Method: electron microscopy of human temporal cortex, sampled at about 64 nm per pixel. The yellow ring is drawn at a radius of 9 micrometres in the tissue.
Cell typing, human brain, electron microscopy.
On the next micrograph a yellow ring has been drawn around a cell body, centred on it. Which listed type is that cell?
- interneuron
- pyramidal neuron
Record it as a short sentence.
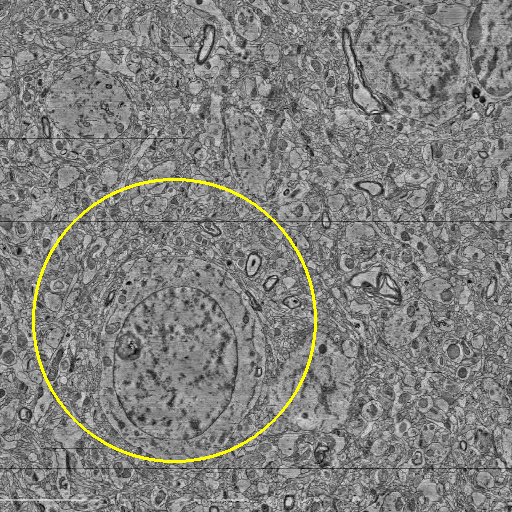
The cell body in the ring's centre belongs to a pyramidal neuron.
